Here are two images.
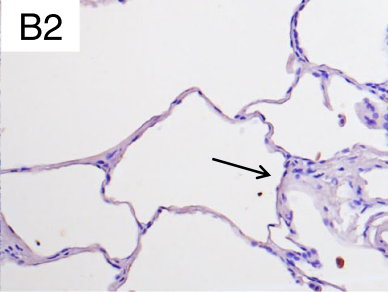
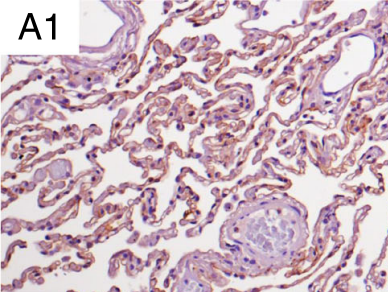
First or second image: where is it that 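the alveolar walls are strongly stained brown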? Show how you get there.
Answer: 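First image: thin alveolar walls are mostly blue with only a faint brown tint. Second image: the alveolar walls are outlined throughout in distinct brown.
Conclusion: the second image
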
